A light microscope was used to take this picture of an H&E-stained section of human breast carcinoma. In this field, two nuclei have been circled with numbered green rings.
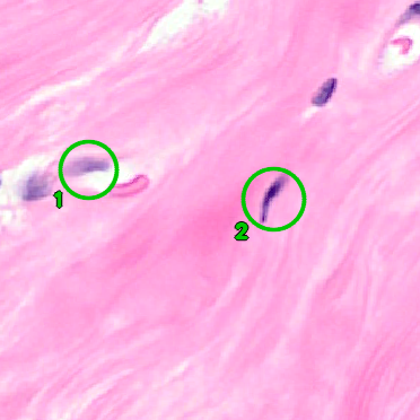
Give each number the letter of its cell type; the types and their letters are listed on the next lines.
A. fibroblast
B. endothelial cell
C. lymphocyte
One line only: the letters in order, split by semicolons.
B; A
